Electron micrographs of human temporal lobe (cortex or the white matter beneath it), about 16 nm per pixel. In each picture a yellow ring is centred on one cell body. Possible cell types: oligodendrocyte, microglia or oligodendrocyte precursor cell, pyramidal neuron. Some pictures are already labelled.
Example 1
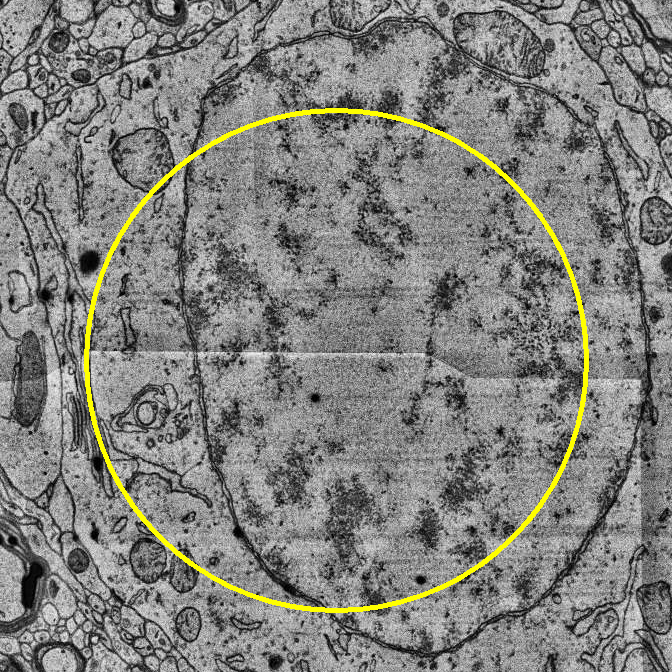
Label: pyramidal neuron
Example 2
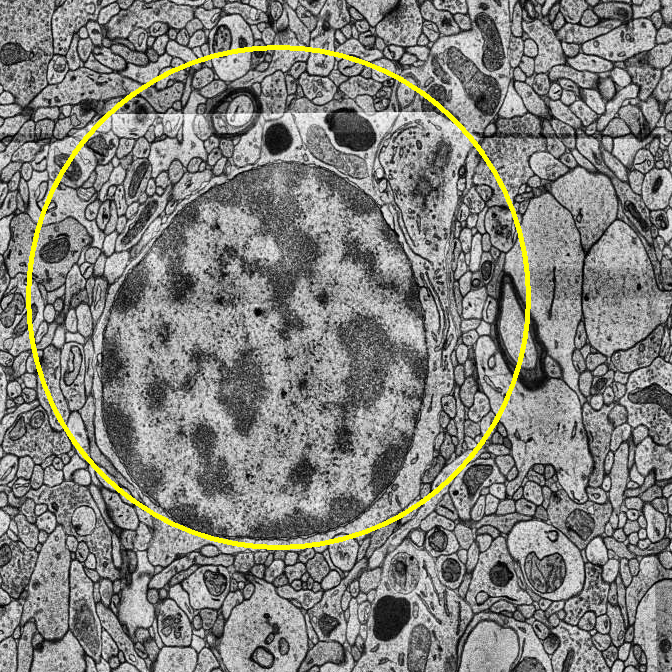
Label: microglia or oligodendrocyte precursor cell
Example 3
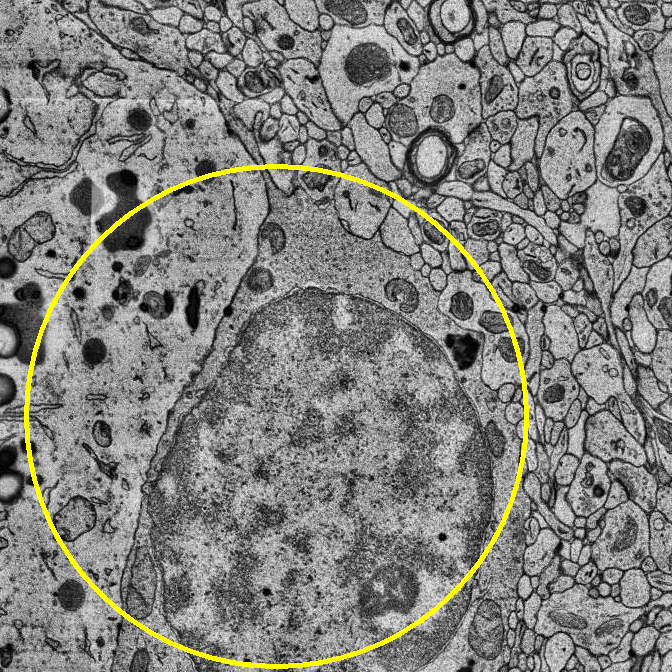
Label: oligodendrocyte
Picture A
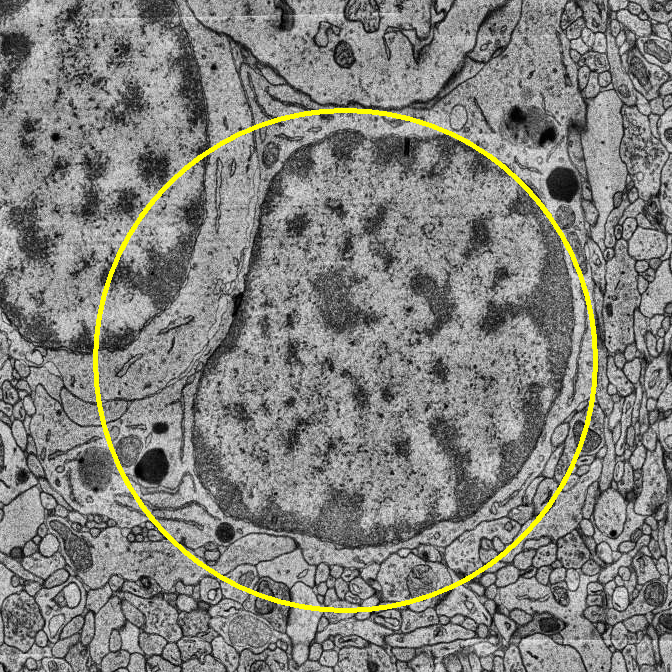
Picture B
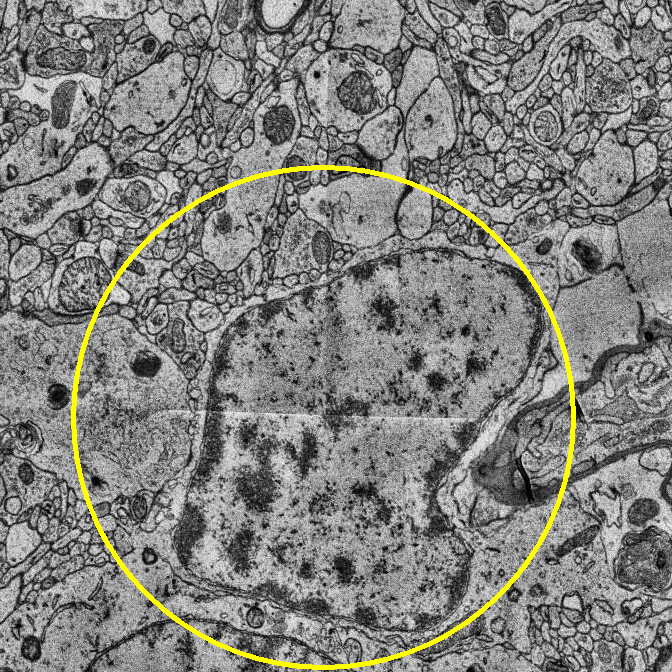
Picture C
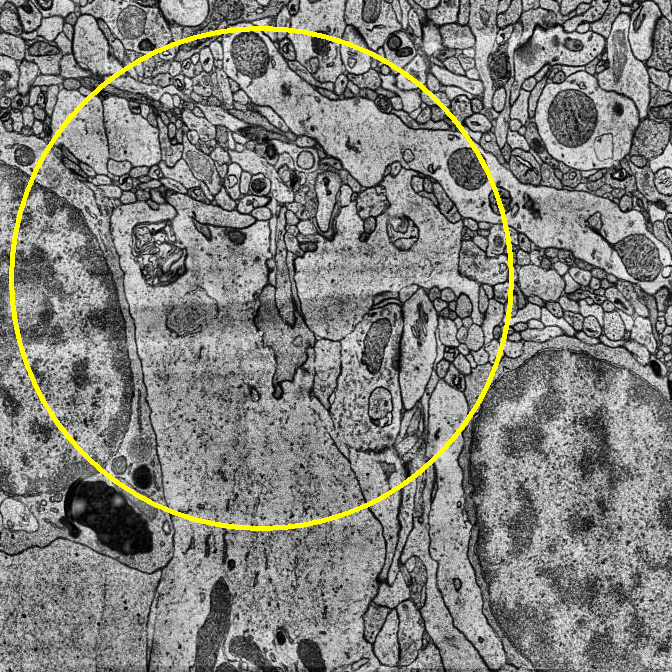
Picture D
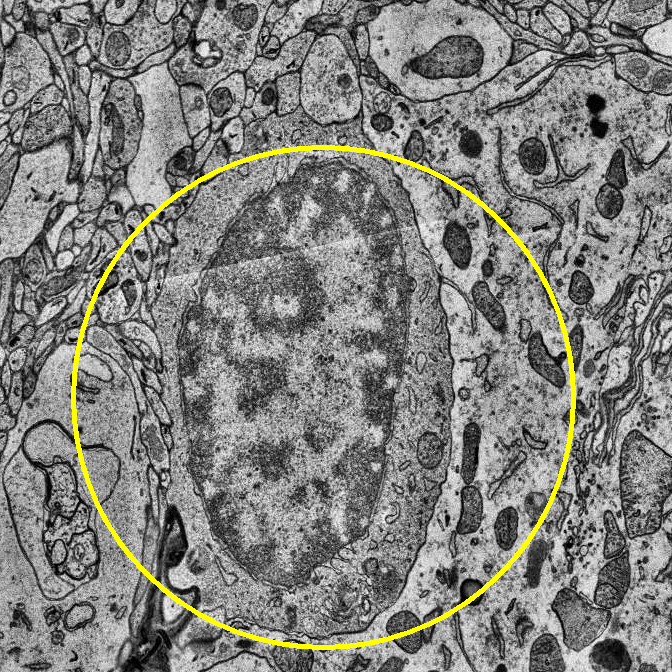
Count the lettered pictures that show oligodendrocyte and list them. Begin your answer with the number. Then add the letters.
2: C, D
